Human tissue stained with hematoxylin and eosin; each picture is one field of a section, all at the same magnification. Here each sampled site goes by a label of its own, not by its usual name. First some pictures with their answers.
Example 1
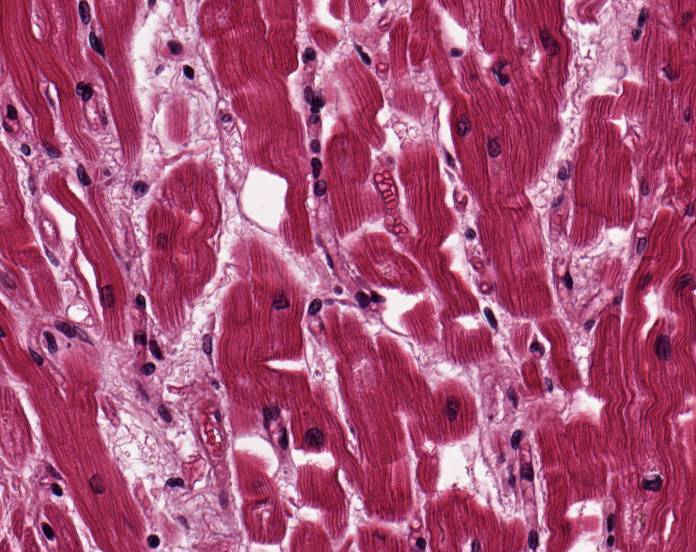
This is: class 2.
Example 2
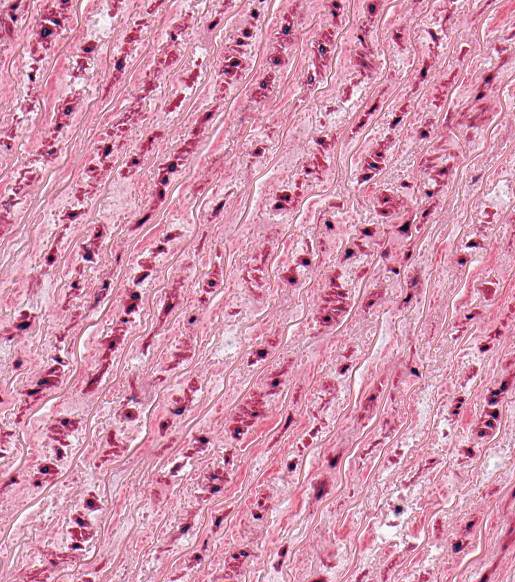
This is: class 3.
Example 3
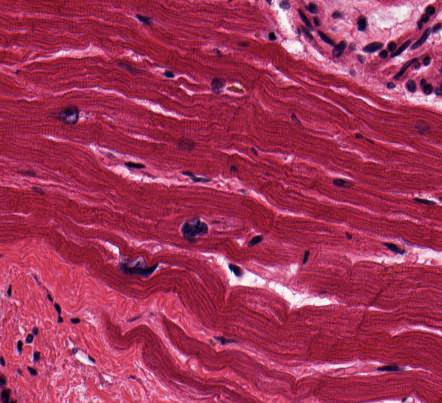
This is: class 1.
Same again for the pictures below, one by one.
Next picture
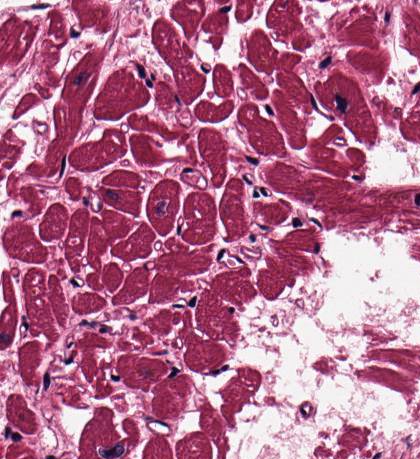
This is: class 1.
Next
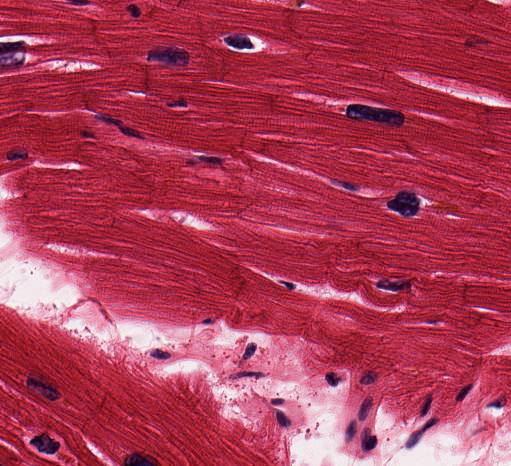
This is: class 1.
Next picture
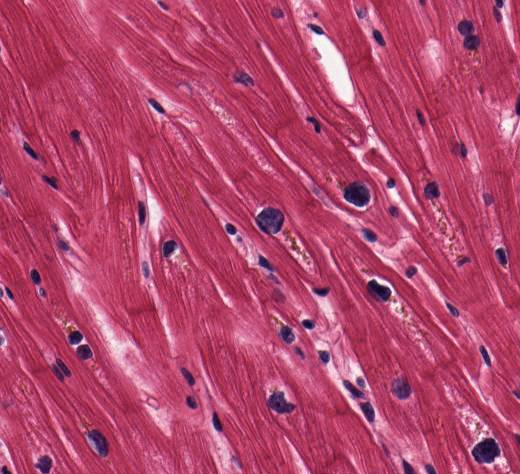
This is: class 1.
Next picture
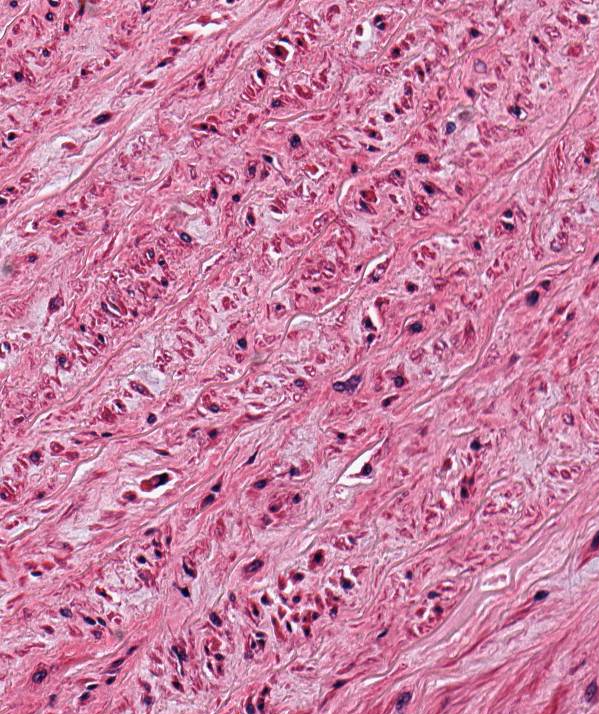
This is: class 3.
